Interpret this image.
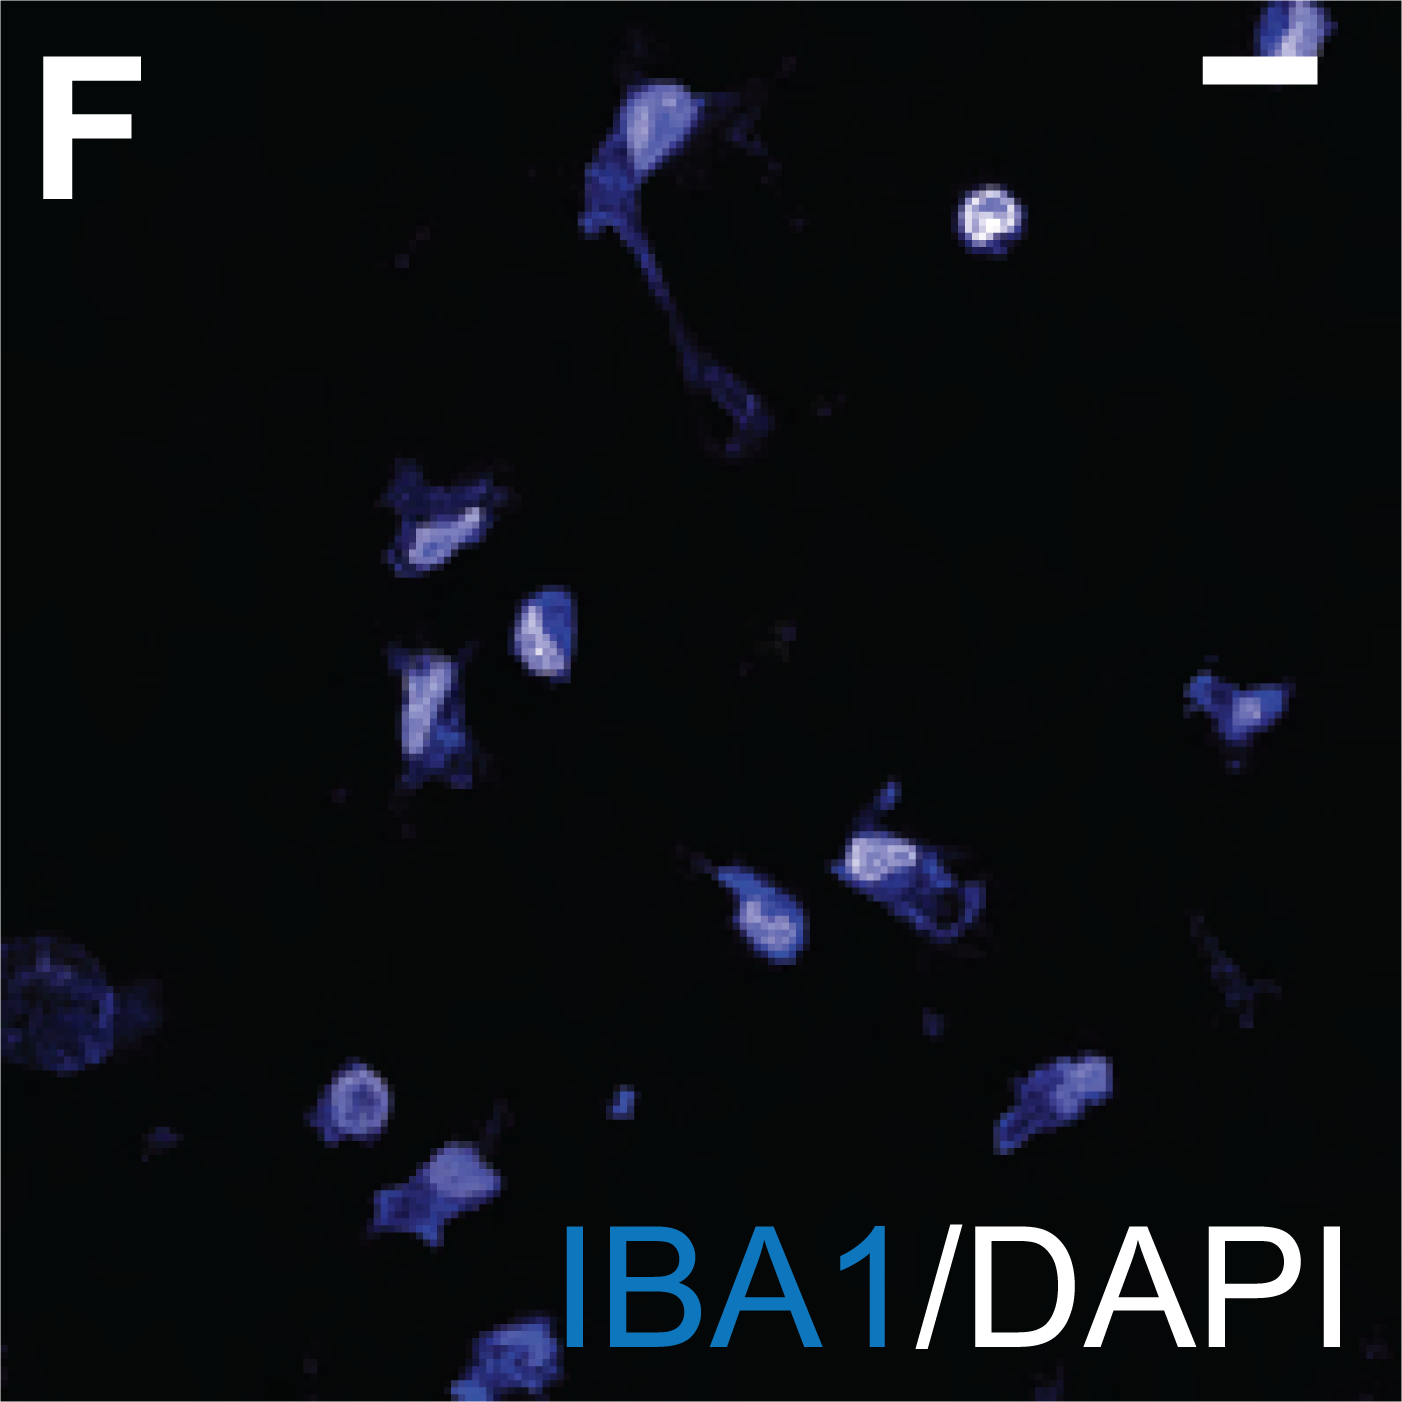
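These are cultured microglia, seen as scattered, separate small cells on a dark background, each filled with blue stain. Most have compact, rounded to triangular cell bodies of roughly similar size, with a brighter central region and a few short, fine processes giving some a ragged outline. One cell near the top is elongated, with a long process trailing downward, and one small round cell is compact and very bright. The cells lie apart from one another rather than in clusters, and there is no surrounding tissue.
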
